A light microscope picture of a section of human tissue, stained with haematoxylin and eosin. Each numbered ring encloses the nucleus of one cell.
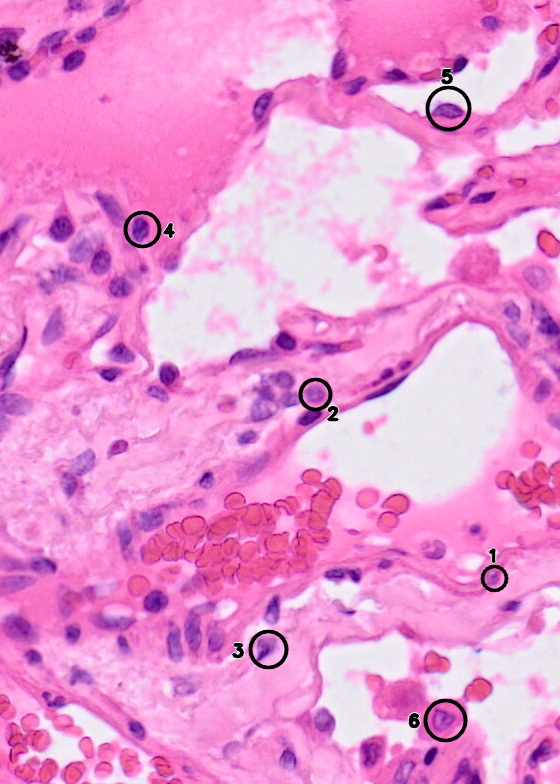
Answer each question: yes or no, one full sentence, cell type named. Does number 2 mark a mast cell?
Yes, the cell tagged with the number 2 is a mast cell.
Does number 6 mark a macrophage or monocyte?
Yes, regarding cell number 6, it is a macrophage or monocyte.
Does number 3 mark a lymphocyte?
No, the cell under number 3 is a fibroblast, not a lymphocyte.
